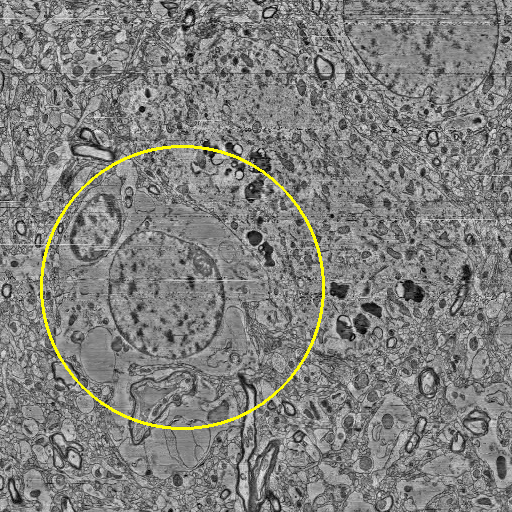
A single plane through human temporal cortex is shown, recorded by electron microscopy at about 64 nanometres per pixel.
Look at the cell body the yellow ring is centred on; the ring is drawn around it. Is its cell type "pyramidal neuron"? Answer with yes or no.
No, its cell type is another.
